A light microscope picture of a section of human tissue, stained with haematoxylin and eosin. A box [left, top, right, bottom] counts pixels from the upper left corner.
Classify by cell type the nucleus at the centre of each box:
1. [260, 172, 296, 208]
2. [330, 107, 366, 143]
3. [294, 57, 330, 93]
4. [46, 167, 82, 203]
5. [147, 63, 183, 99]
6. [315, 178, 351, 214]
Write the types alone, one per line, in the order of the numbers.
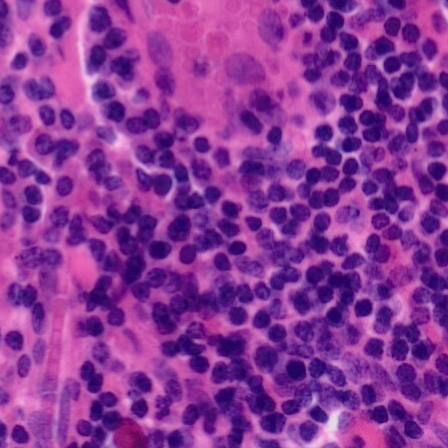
small lymphocyte
small lymphocyte
endothelial cell
plasma cell
endothelial cell
small lymphocyte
